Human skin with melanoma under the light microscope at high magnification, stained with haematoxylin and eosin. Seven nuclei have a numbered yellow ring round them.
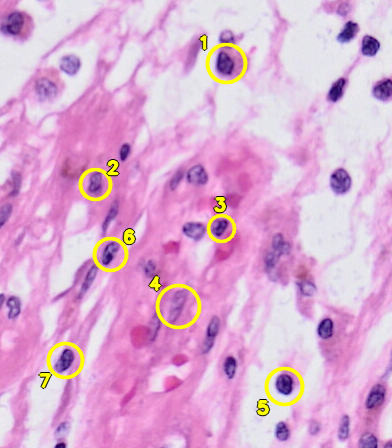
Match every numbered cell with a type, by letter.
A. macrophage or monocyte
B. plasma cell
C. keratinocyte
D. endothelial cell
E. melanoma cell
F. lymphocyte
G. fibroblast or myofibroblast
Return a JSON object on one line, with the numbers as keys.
{"1": "A", "2": "A", "3": "F", "4": "D", "5": "F", "6": "F", "7": "F"}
